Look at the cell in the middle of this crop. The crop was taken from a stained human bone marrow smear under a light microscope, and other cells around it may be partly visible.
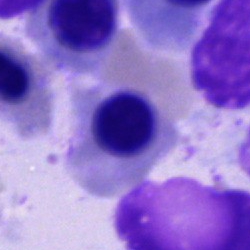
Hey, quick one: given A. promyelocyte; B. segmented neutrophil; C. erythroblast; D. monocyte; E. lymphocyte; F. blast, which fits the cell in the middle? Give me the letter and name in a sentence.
For this crop, option C is right, the centered cell being an erythroblast.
